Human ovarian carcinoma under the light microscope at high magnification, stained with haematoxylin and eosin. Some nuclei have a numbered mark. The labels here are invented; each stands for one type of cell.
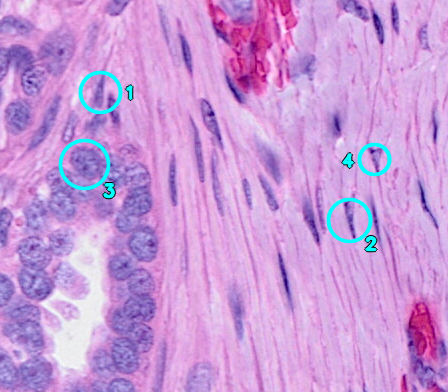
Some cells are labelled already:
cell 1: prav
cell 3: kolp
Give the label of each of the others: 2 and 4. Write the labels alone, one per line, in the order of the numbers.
prav
prav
